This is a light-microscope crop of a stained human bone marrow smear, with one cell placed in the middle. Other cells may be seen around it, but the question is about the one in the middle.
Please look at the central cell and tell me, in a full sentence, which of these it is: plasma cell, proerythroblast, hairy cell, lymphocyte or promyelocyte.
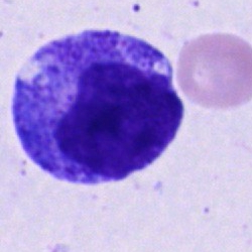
The middle of this crop is occupied by a promyelocyte.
